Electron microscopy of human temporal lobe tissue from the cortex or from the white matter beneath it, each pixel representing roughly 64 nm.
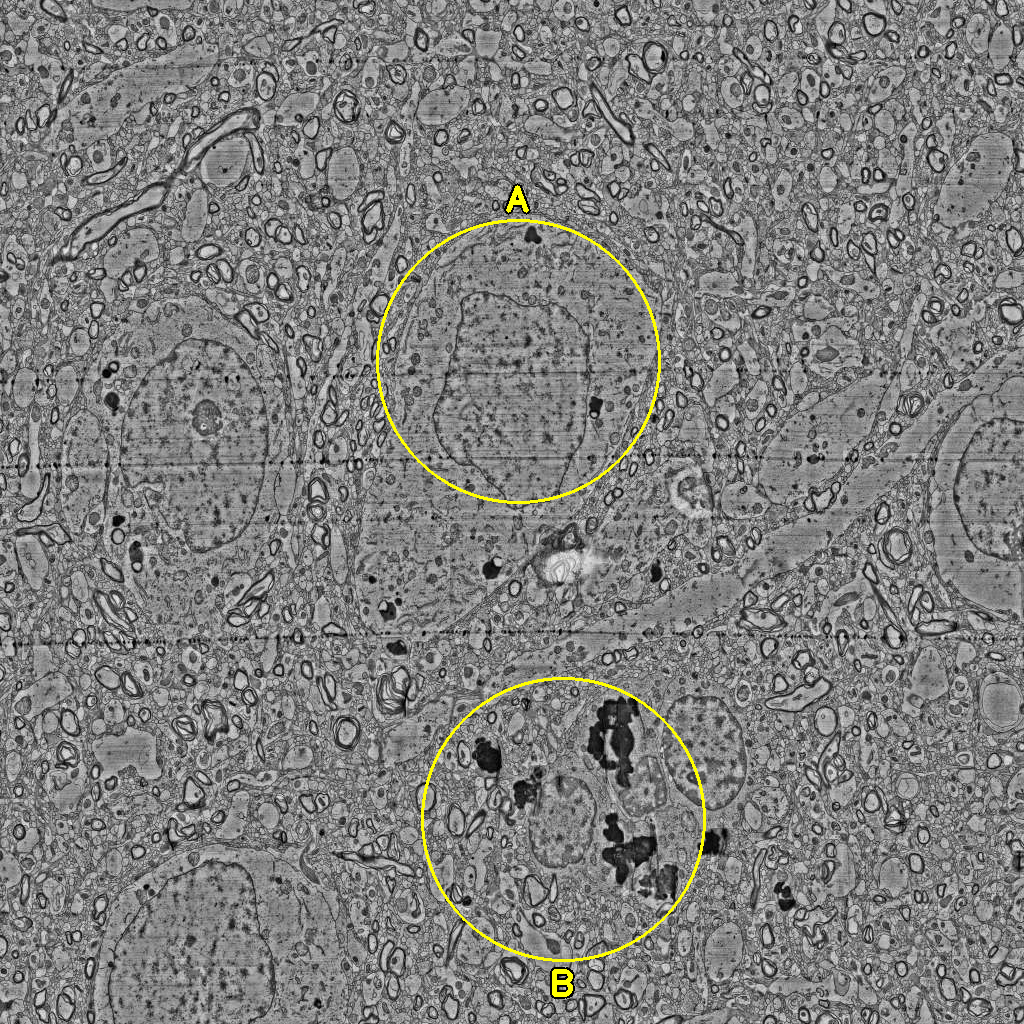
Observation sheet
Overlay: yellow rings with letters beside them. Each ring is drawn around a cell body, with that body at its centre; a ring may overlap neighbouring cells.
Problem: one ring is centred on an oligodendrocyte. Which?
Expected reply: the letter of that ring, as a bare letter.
B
